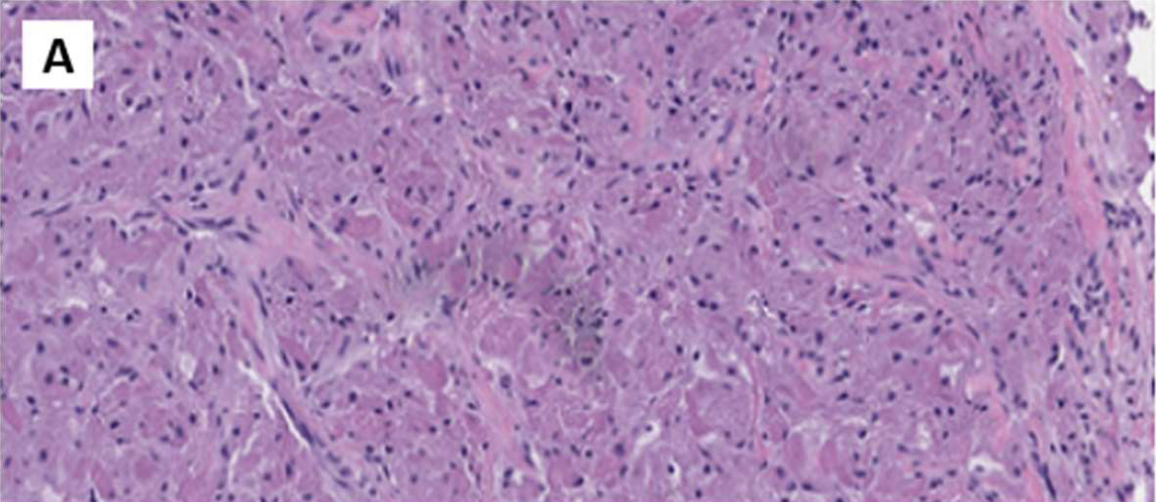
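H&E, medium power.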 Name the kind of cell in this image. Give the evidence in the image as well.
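Large cells with angular, polygonal outlines fill the field. Each cell has abundant pink, finely granular cytoplasm. Cells lie in sheets and nests separated by thin strands.
Hence: large, polygonal tumor cells.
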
